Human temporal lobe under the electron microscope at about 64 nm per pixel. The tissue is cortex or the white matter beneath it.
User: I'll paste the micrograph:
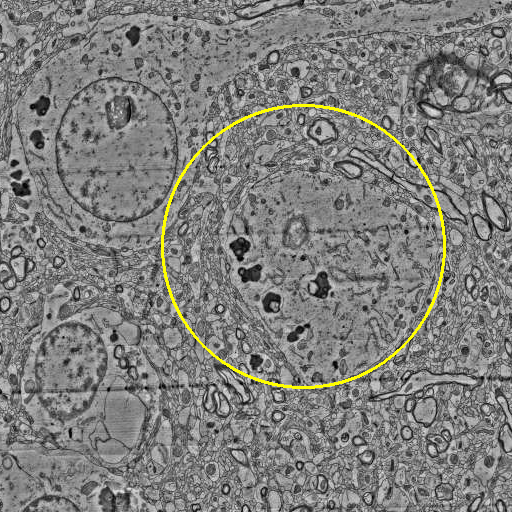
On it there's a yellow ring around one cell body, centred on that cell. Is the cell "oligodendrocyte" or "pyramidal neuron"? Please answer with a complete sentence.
The cell ringed in yellow is a pyramidal neuron.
